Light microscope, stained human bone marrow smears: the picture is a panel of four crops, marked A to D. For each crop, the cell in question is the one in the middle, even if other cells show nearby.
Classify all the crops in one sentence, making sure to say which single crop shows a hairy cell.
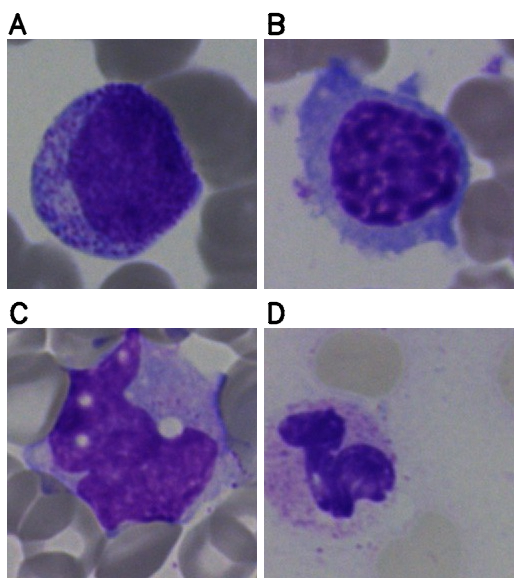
In crop B the cell is a hairy cell, whereas crop A is a promyelocyte, crop C is a monocyte and crop D is a neutrophil.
